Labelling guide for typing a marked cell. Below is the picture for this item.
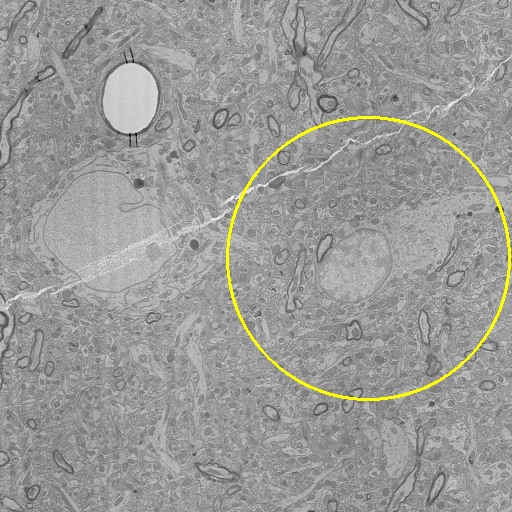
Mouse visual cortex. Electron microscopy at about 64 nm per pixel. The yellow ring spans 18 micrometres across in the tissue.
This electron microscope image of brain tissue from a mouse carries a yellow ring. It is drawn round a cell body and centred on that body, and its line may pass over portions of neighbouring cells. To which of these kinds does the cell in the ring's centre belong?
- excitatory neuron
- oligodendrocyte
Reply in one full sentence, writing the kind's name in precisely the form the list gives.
Here we have an oligodendrocyte at the centre of the yellow ring in the picture.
